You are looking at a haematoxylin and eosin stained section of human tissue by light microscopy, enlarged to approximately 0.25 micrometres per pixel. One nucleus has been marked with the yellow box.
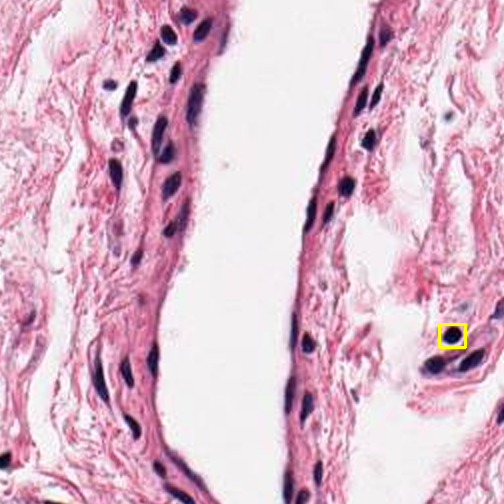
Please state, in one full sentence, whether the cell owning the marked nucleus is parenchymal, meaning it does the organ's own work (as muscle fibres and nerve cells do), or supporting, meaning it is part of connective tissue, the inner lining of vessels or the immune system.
The marked nucleus is attributed to a supporting cell.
